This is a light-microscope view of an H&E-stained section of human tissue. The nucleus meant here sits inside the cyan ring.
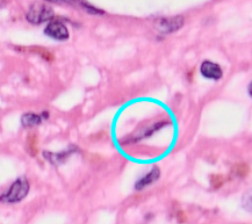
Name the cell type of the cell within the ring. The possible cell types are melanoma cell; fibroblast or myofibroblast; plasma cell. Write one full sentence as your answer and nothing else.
In the tissue at hand, the cell within the ring is a fibroblast or myofibroblast.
